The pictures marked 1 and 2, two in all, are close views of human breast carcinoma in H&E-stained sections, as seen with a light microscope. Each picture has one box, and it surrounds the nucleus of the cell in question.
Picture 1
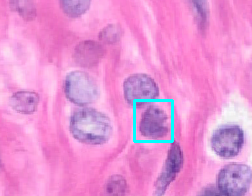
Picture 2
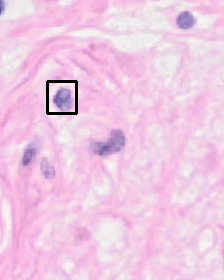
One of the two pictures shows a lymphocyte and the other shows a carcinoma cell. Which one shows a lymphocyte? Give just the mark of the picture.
2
